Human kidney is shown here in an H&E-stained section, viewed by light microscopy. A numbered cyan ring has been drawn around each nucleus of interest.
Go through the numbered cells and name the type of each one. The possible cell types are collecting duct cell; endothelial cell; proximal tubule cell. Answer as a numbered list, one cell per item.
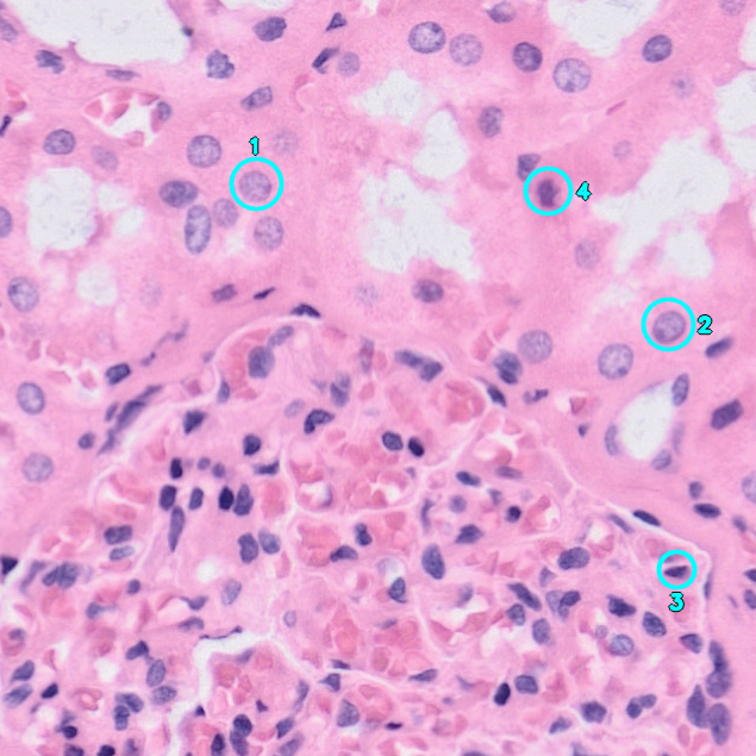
1. proximal tubule cell
2. proximal tubule cell
3. endothelial cell
4. proximal tubule cell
